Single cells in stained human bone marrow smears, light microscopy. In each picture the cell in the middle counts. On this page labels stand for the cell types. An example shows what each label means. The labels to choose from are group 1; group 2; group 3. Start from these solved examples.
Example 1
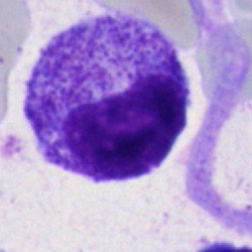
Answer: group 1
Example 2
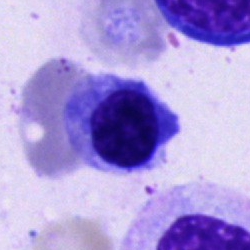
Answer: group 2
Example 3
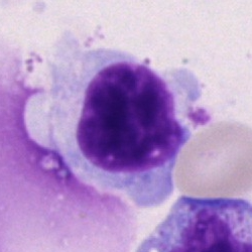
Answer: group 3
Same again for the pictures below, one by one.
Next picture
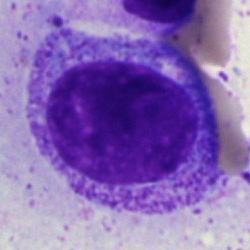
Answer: group 1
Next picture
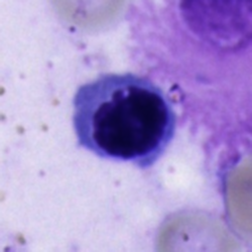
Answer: group 2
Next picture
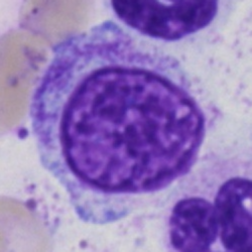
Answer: group 1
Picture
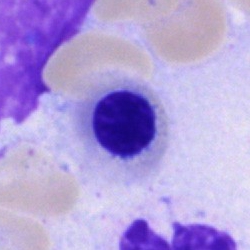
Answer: group 2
